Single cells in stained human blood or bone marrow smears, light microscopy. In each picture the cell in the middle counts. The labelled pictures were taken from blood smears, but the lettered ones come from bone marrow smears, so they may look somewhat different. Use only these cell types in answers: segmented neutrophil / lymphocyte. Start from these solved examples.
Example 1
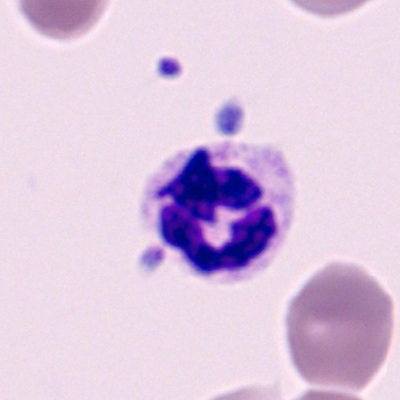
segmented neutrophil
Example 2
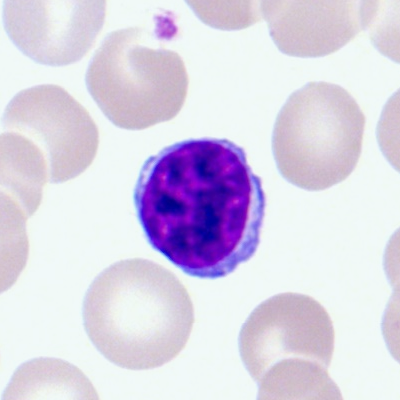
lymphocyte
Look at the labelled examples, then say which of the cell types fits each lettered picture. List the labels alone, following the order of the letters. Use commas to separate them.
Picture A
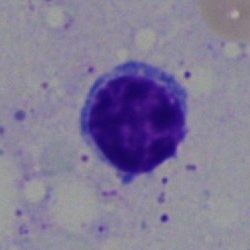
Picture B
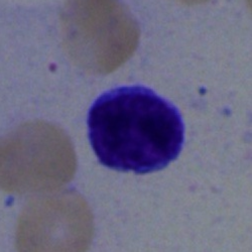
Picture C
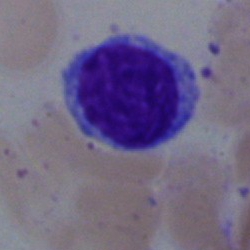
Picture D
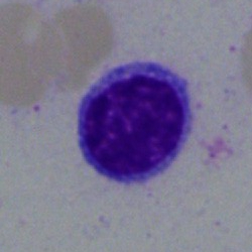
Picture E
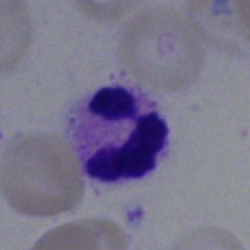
lymphocyte, lymphocyte, lymphocyte, lymphocyte, segmented neutrophil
